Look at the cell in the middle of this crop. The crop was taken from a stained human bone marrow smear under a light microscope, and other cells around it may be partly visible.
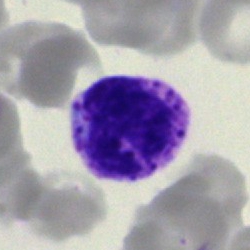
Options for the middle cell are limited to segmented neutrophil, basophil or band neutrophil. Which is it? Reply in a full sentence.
The cell the crop is centered on is a basophil.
